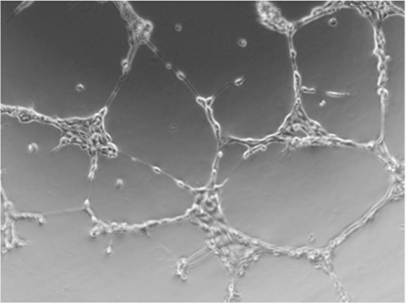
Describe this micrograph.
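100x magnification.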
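Spindle-shaped cells with bright outlines stretch out as thin strands, some only one cell wide, linking irregular clumps of rounded and bunched cells. The strands enclose a few large, open, polygonal spaces, and some strands end blindly or are very fine and thread-like. Aggregates of cells gather at the branch points, especially toward the centre and right of the field. Scattered small round cells lie free on the smooth background. Overall the meshwork is less regular and more open than a dense honeycomb.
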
